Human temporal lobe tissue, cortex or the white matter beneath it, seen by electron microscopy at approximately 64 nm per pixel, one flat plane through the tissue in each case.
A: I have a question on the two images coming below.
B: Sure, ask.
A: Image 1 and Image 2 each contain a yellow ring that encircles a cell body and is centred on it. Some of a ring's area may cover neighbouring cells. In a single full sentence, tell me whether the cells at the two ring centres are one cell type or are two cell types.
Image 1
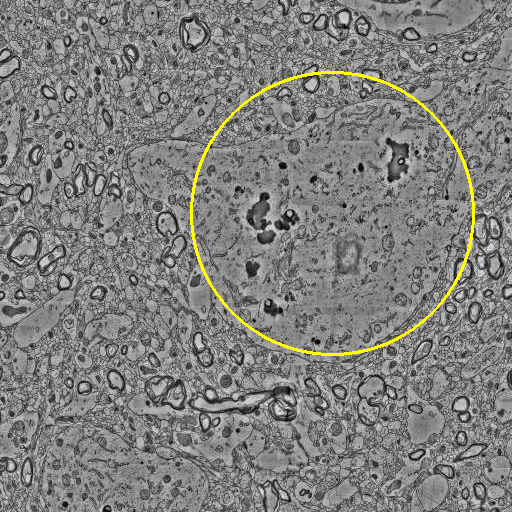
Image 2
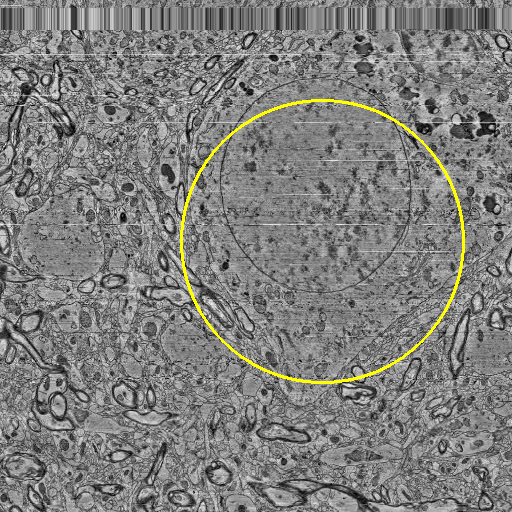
As for the ring-centre cells, the one in Image 1 and the one in Image 2 are one cell type.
